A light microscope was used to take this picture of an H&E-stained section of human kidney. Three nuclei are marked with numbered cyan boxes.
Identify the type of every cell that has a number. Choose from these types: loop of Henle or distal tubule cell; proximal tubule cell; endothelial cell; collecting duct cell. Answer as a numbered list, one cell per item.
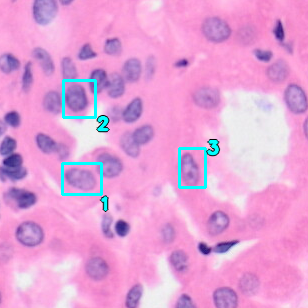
1. collecting duct cell
2. collecting duct cell
3. proximal tubule cell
